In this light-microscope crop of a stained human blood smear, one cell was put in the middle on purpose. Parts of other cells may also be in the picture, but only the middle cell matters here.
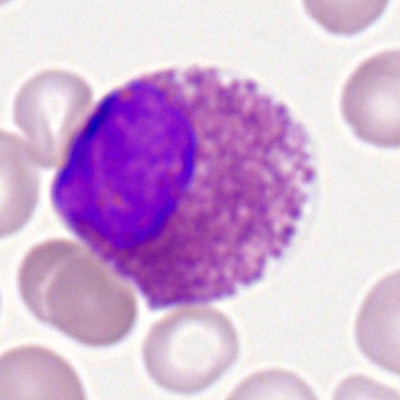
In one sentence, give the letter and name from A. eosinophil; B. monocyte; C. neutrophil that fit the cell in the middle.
The cell at the heart of the crop is an eosinophil, so choose option A.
